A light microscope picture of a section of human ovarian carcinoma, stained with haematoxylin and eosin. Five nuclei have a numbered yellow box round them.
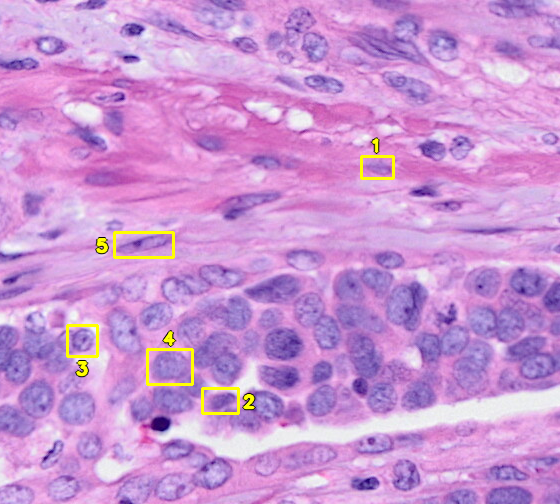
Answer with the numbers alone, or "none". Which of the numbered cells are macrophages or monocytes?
3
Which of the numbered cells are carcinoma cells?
2, 4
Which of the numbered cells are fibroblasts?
5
